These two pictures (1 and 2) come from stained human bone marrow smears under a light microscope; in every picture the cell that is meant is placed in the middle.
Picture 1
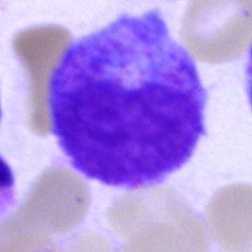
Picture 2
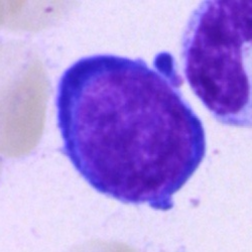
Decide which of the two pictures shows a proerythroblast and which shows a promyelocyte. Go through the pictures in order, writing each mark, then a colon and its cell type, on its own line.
1: promyelocyte
2: proerythroblast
